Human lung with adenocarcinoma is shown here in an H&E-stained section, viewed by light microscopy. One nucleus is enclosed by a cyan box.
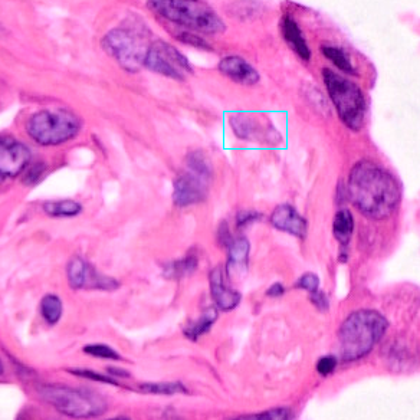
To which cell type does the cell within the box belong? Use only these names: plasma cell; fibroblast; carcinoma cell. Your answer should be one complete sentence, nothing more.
At the level of cell identity, the cell within the box is a fibroblast.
